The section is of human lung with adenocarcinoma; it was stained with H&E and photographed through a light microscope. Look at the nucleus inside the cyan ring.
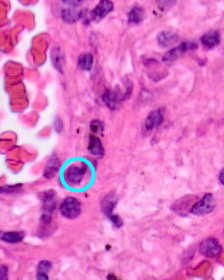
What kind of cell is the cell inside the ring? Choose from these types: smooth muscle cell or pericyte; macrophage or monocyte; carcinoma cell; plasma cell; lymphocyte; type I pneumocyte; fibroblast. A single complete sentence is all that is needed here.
By its classification, the cell inside the ring is a plasma cell.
